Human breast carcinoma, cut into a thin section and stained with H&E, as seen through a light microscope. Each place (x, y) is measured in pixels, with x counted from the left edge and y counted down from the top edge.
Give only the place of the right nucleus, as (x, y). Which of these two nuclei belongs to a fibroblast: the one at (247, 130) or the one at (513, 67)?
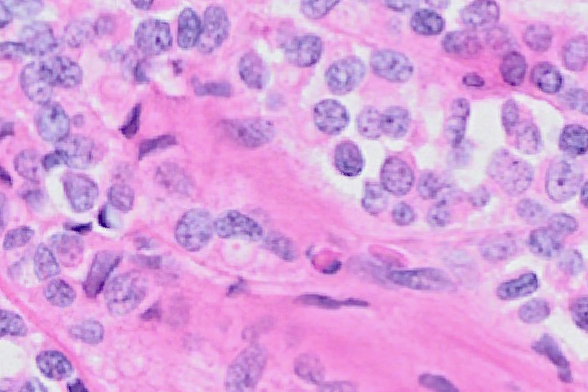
(247, 130)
